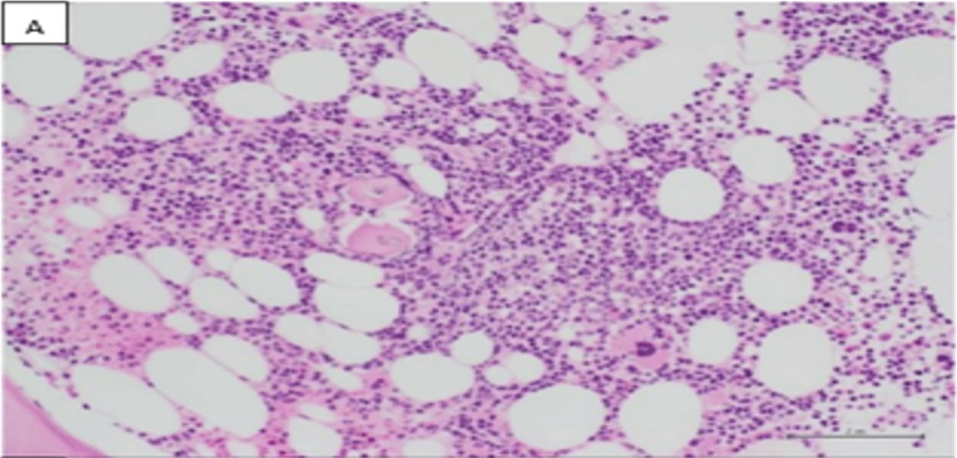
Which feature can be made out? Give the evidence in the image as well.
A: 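Lymphoid aggregate. A dense cluster of small round dark purple nuclei fills the centre of the field. The dense cluster lies among large round empty fat spaces. The cells in the cluster are small and closely packed, with scant cytoplasm.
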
